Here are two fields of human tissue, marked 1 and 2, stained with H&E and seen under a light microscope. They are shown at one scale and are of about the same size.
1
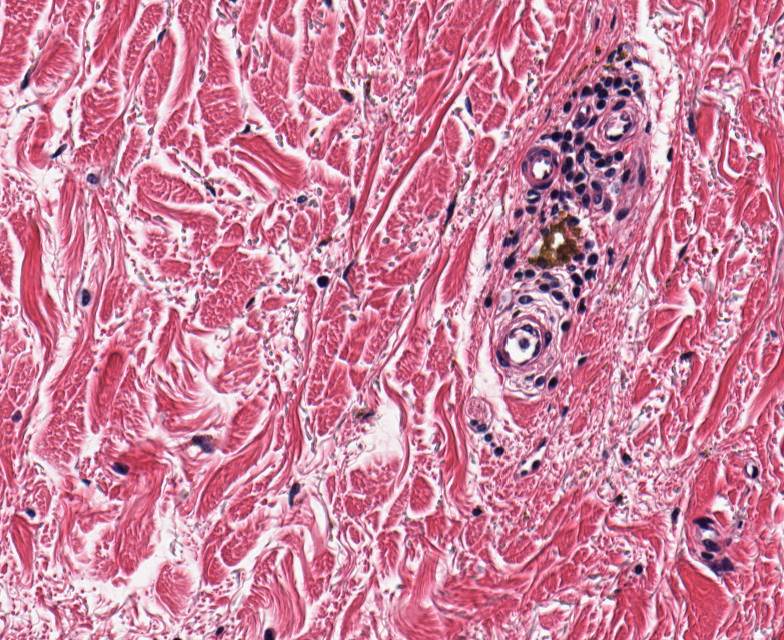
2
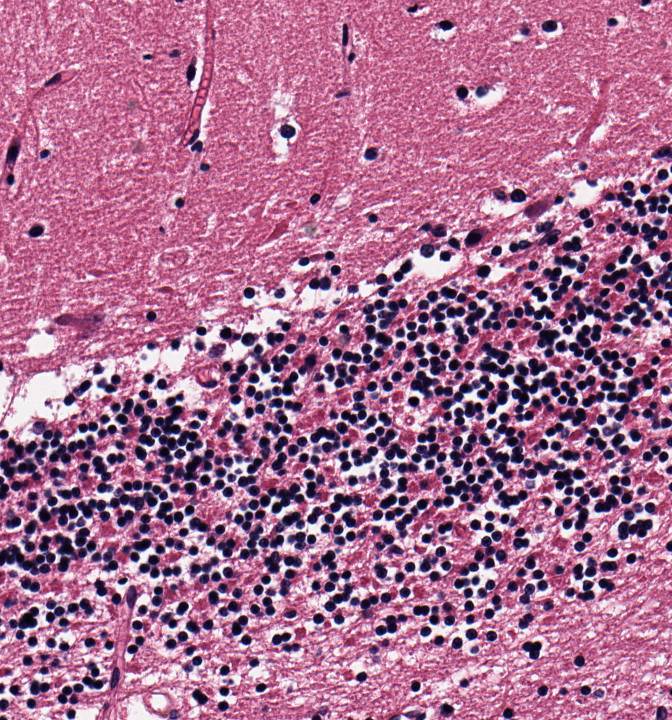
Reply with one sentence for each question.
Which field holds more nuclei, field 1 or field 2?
More nuclei lie in field 2 than in field 1.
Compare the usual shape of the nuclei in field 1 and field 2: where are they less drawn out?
On the whole the nuclei of field 2 are rounder than those of field 1.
